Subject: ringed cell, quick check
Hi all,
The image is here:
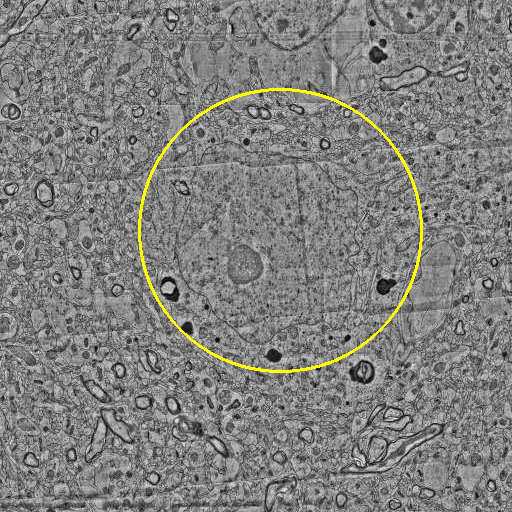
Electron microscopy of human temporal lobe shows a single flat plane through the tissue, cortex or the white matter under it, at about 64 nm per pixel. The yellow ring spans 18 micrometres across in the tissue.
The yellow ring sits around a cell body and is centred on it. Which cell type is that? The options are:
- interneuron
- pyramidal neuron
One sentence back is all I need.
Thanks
That ringed cell is a pyramidal neuron.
